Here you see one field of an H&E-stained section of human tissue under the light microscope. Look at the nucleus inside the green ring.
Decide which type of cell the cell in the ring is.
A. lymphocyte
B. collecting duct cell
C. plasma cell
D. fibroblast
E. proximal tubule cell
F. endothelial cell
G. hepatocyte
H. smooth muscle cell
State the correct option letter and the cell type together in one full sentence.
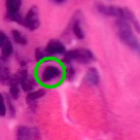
Option C is correct; the cell in the ring is a plasma cell.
